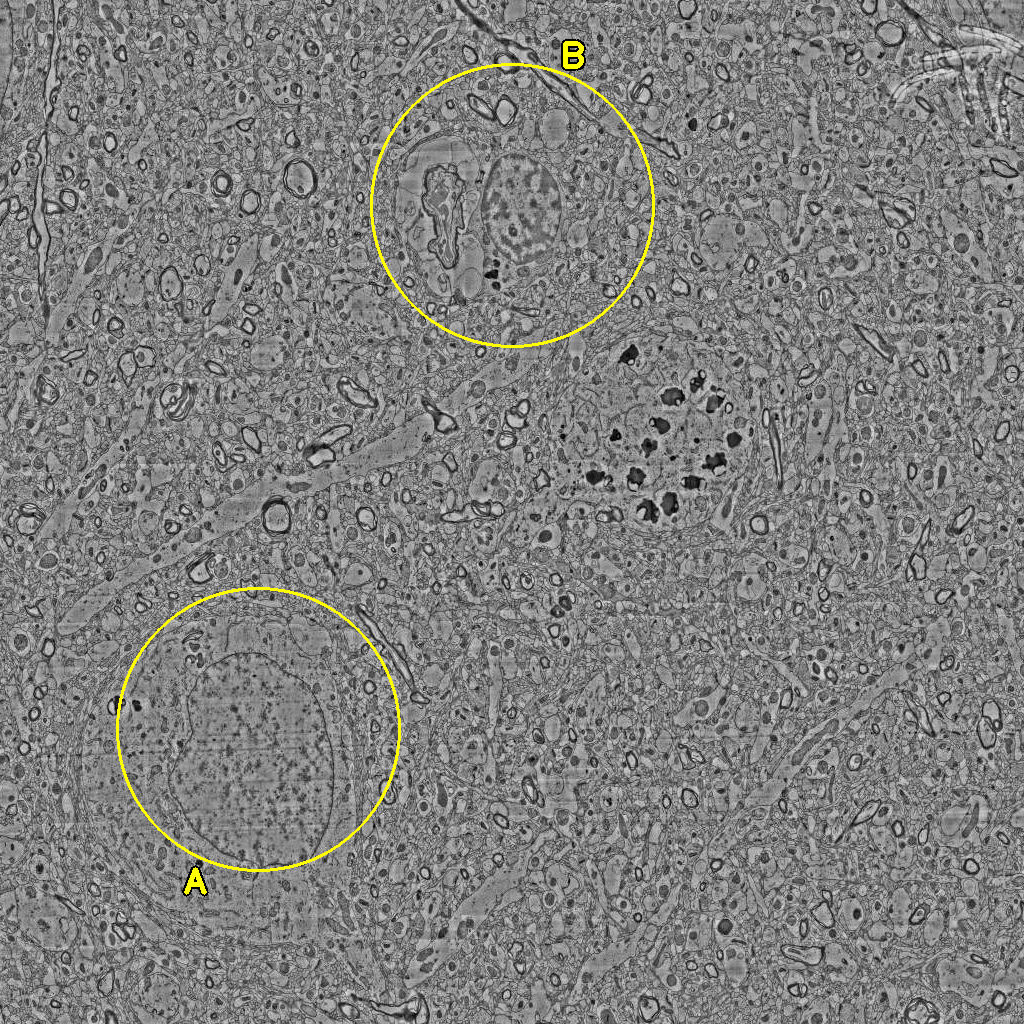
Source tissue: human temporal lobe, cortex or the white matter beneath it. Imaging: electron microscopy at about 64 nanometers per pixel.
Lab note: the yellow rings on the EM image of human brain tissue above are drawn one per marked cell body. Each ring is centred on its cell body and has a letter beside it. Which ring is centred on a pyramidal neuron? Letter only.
A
